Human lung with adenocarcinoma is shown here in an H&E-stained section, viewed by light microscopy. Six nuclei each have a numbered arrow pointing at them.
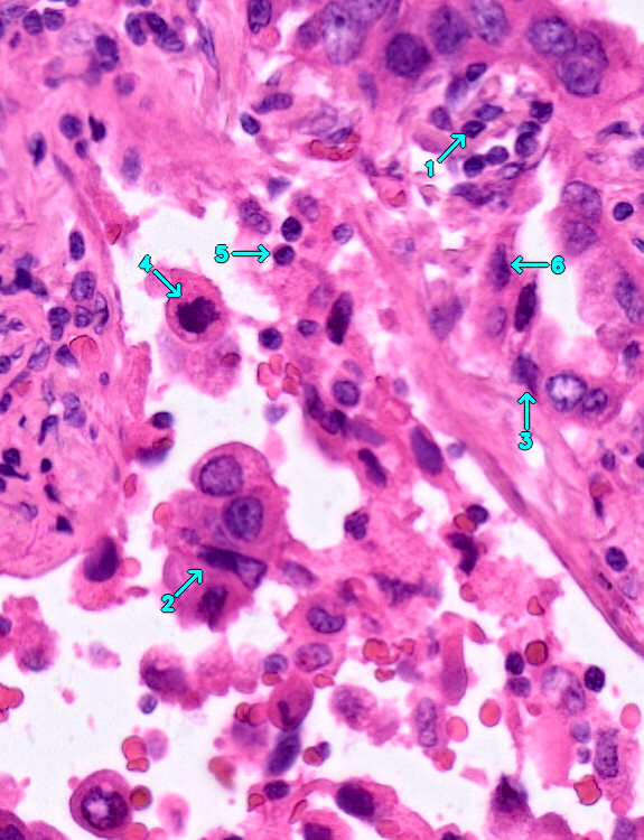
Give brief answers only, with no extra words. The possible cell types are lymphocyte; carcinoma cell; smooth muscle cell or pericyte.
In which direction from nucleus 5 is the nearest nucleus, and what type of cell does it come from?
a lymphocyte, above nucleus 5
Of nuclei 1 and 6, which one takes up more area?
6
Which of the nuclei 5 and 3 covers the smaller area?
5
